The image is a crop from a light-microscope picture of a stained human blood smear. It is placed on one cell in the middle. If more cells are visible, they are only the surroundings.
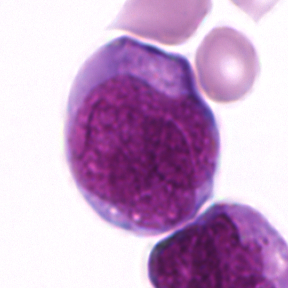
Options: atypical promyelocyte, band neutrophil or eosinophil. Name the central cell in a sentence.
The crop shows an atypical promyelocyte in its centre.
